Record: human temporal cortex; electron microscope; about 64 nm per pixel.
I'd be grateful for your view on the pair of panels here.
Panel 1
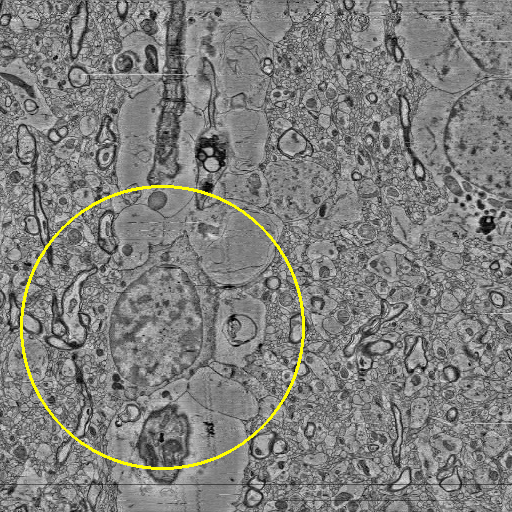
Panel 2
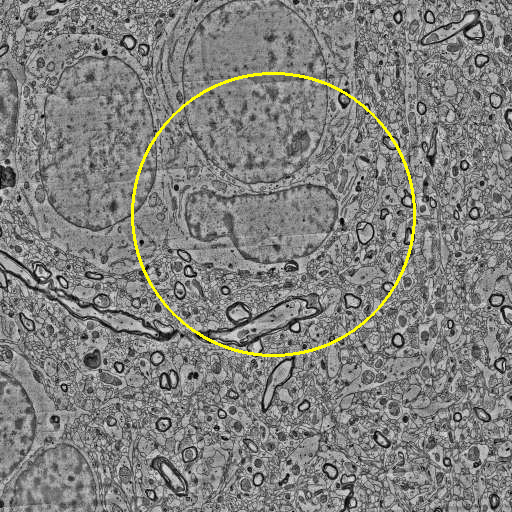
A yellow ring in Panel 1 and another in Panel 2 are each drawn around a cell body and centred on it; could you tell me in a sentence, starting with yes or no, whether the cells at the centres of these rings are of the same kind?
No, they are two kinds of cell.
